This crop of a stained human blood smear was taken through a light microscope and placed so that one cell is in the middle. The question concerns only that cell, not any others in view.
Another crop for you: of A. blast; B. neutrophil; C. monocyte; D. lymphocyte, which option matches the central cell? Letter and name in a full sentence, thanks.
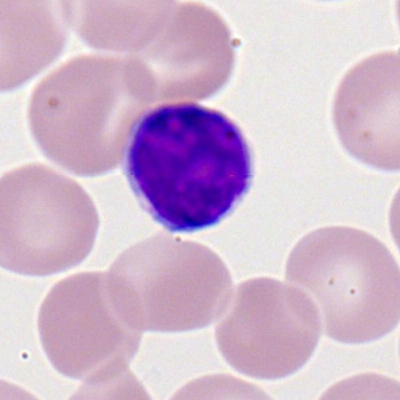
Option D gives the correct identity of the central cell, namely a lymphocyte.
